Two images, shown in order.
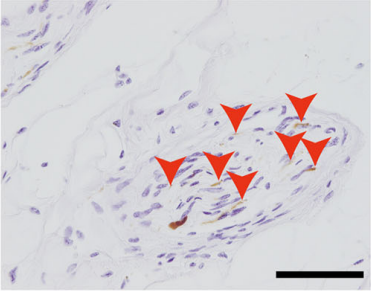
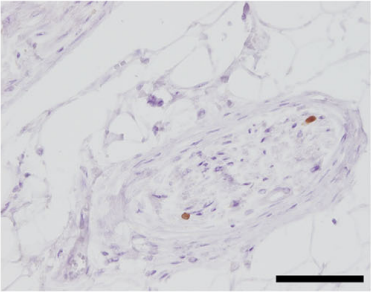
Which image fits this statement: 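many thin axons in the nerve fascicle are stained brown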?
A: The first image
